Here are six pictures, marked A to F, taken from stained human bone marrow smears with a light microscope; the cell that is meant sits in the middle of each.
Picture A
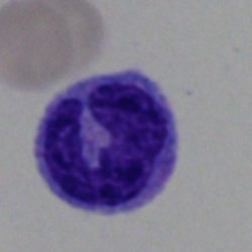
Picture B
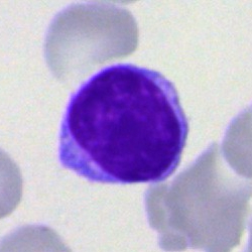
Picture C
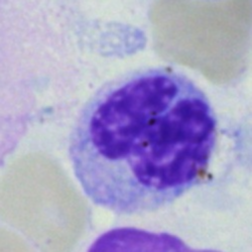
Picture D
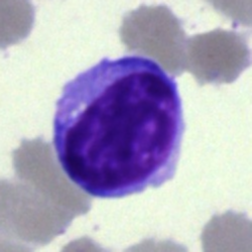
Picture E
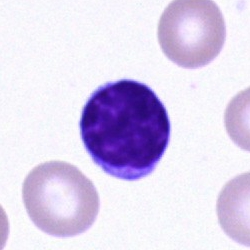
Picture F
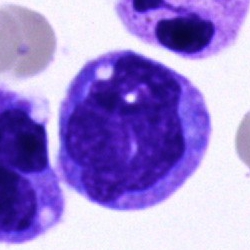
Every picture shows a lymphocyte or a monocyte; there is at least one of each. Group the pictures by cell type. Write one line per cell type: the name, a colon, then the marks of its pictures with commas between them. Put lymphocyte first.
lymphocyte: B, D, E
monocyte: A, C, F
